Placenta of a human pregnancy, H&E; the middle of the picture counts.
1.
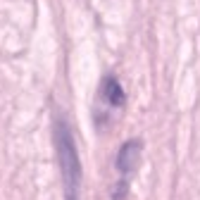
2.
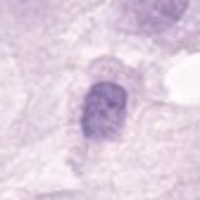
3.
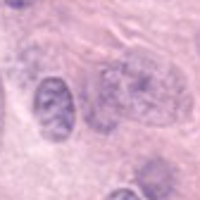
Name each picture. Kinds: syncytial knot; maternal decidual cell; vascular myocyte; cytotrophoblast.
(1) vascular myocyte
(2) maternal decidual cell
(3) cytotrophoblast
